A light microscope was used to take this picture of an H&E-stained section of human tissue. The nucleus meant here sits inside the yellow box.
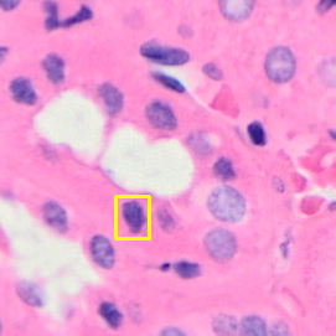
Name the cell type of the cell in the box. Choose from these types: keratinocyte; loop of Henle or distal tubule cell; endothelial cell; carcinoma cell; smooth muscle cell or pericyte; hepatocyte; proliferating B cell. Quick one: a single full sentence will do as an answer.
What the cell in the box represents is a loop of Henle or distal tubule cell.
